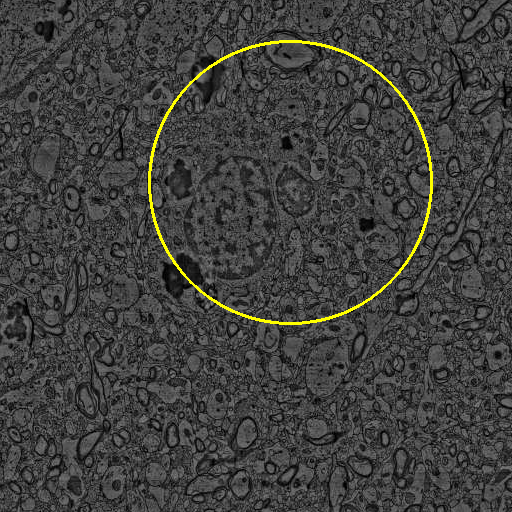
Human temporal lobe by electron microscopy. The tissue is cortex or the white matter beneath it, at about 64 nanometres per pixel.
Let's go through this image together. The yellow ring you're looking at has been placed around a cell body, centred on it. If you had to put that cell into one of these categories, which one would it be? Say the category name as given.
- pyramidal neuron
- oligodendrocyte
oligodendrocyte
